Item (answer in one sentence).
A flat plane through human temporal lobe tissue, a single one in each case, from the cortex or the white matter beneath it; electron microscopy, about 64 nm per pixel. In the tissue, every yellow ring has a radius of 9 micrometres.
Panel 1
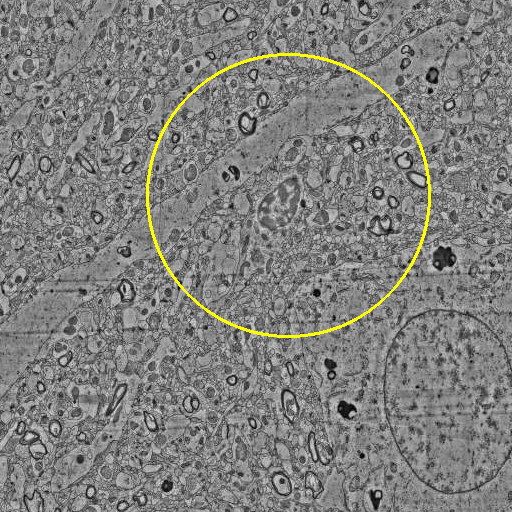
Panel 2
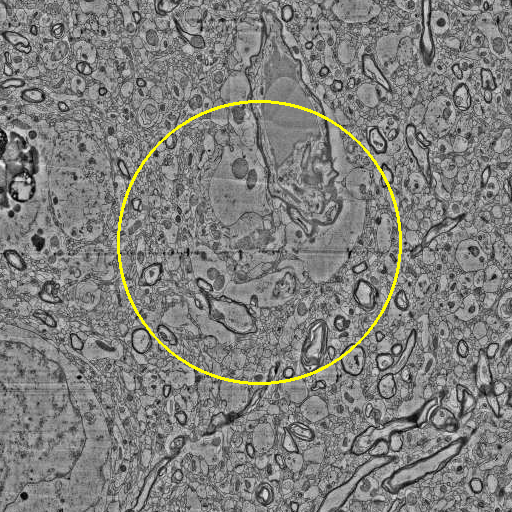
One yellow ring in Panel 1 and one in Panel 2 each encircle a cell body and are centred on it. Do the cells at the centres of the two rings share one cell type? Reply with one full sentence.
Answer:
Yes, Panel 1 and Panel 2 show cells of one type at the centres of their rings.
